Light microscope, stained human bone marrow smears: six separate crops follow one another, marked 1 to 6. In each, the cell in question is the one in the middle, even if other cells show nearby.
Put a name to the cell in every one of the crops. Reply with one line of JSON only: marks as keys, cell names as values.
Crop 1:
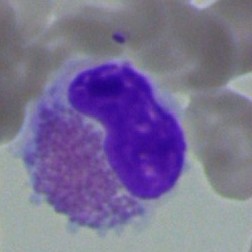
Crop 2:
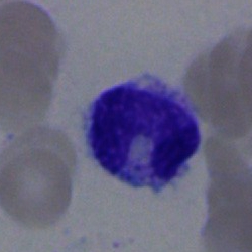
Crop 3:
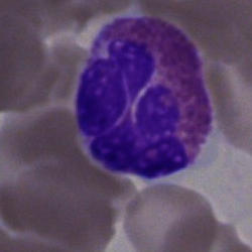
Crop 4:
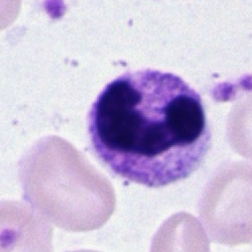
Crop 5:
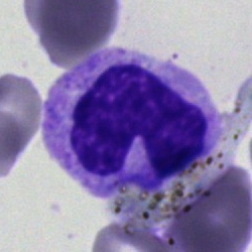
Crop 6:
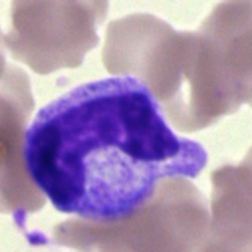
{"1": "eosinophil", "2": "band neutrophil", "3": "eosinophil", "4": "segmented neutrophil", "5": "band neutrophil", "6": "band neutrophil"}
